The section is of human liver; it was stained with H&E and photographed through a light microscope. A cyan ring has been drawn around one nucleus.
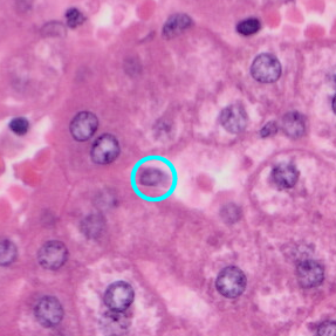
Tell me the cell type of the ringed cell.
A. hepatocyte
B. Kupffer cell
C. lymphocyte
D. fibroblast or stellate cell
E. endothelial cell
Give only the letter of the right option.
B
